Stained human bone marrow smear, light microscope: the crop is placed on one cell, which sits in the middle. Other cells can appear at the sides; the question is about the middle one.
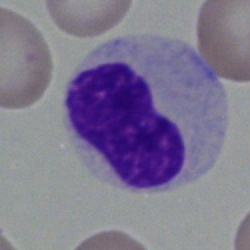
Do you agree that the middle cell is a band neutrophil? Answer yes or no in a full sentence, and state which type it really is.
Yes, the cell right in the middle is a band neutrophil.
